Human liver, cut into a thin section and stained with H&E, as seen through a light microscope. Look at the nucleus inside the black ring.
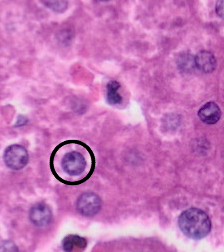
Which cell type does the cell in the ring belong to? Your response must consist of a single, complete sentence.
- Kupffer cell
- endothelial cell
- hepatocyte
As classified here, the cell in the ring is a hepatocyte.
